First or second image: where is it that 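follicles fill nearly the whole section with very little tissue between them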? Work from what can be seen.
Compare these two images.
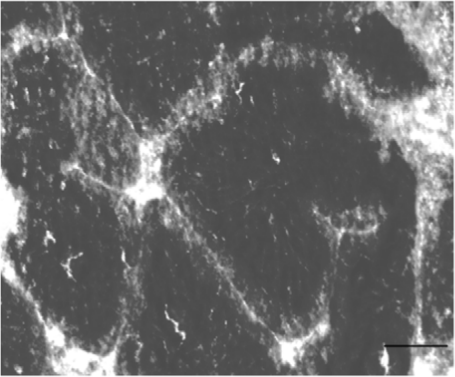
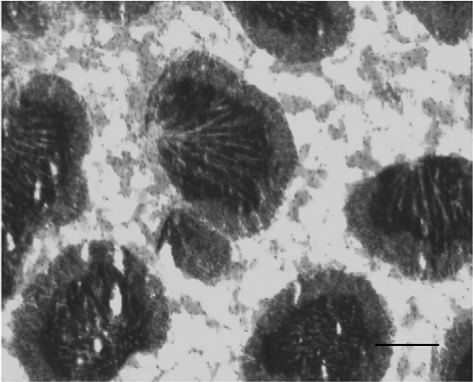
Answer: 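First image: dark follicles press against each other, separated only by thin pale lines. Second image: rounded dark follicles lie apart, with wide areas of pale loose tissue between them. So: the first image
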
